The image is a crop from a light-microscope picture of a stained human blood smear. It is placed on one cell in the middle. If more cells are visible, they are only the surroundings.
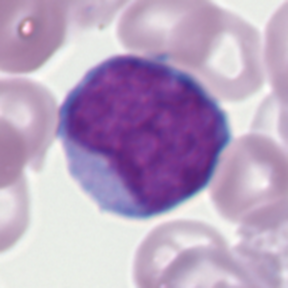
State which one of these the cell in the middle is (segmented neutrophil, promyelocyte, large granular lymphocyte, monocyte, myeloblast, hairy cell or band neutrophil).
myeloblast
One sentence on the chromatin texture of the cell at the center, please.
The chromatin here is fine and lacks any coarse clumps.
